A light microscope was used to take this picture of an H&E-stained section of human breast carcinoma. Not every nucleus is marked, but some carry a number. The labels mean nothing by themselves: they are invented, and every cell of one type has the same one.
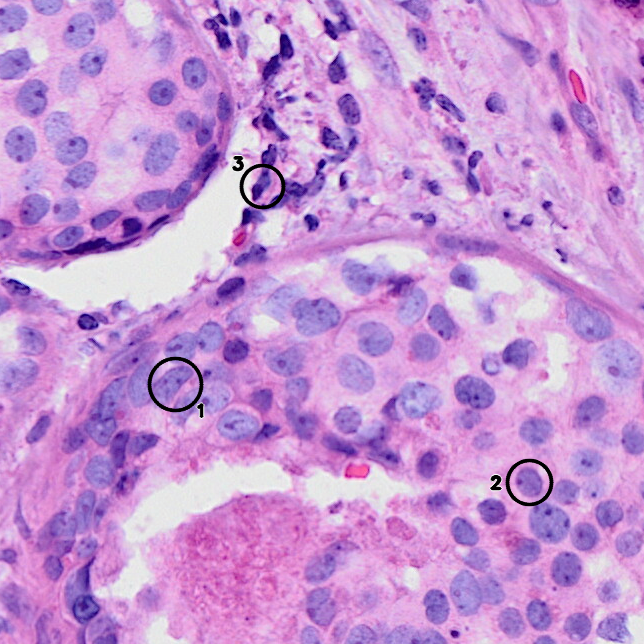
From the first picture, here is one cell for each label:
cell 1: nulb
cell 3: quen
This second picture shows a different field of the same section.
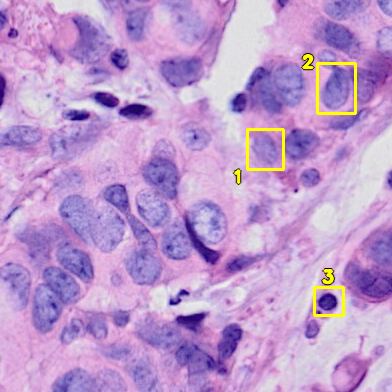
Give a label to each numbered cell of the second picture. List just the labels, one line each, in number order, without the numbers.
nulb
nulb
quen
